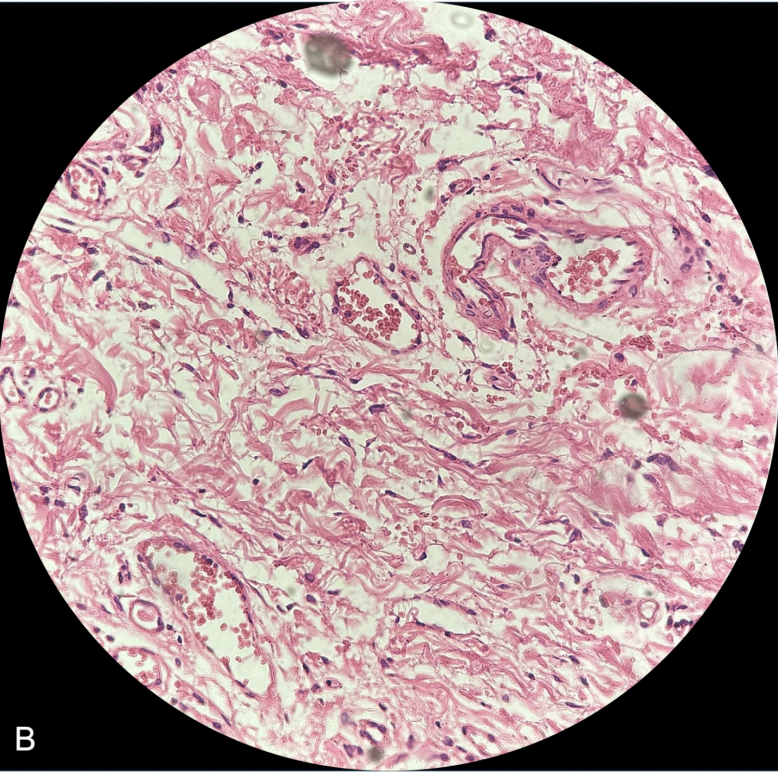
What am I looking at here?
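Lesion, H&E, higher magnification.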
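Loose connective tissue stroma with several thin-walled vascular spaces of differing size. Some spaces contain red blood cells, others look clear. Between the vessels lie wavy, loosely arranged pink collagen bundles with scattered spindle-shaped stromal nuclei and wide pale gaps between fibres. No dense inflammatory infiltrate is evident.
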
